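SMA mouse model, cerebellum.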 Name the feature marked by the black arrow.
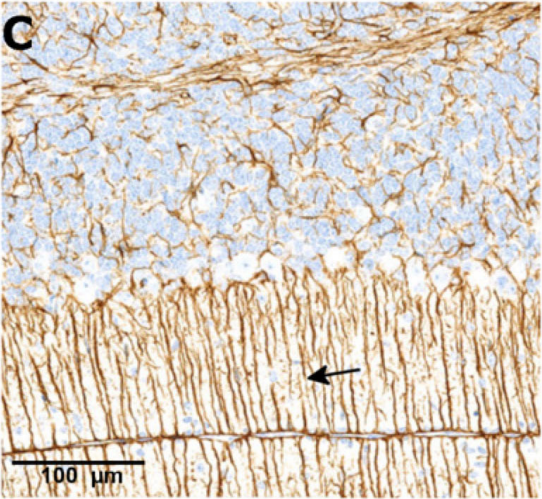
Bergman glial fibers.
